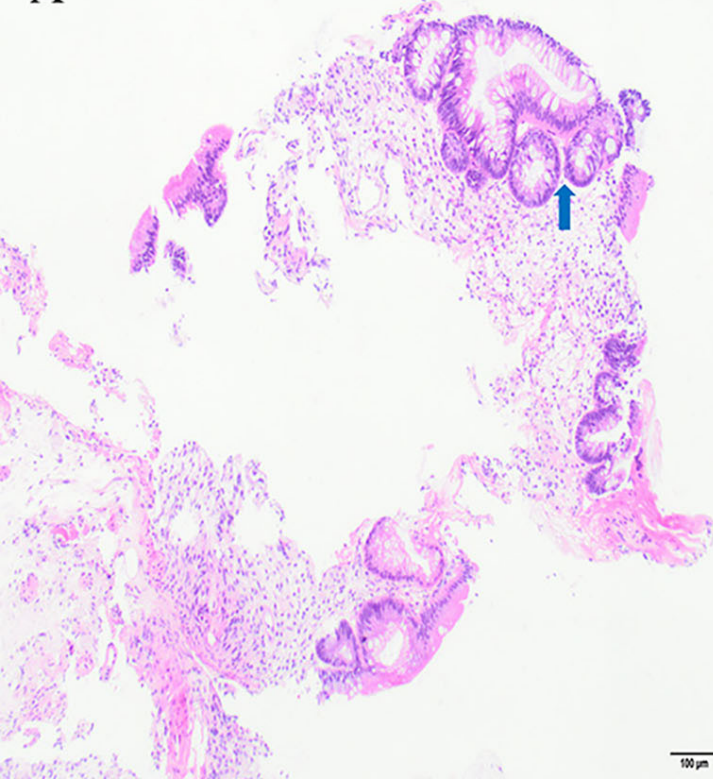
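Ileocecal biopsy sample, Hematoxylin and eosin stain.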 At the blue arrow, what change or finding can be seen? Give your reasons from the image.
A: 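Only a few scattered crypts remain in the mucosa. Large stretches of lamina propria lack crypts. The answer: crypt loss.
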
